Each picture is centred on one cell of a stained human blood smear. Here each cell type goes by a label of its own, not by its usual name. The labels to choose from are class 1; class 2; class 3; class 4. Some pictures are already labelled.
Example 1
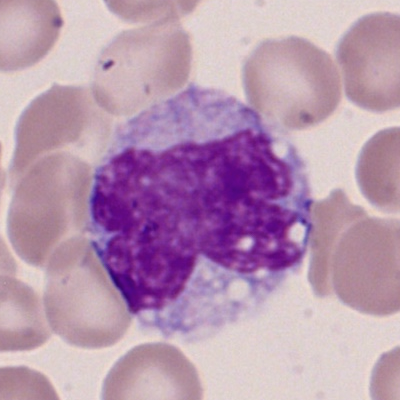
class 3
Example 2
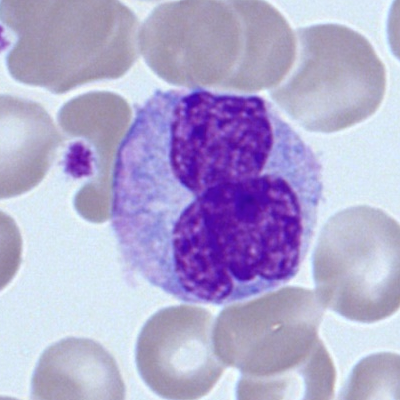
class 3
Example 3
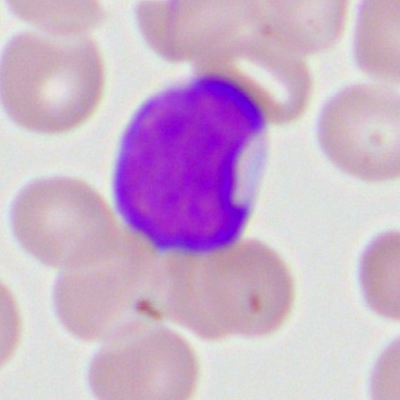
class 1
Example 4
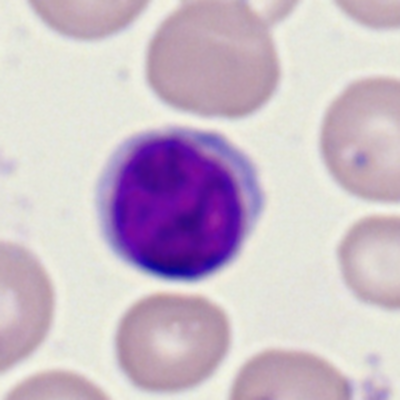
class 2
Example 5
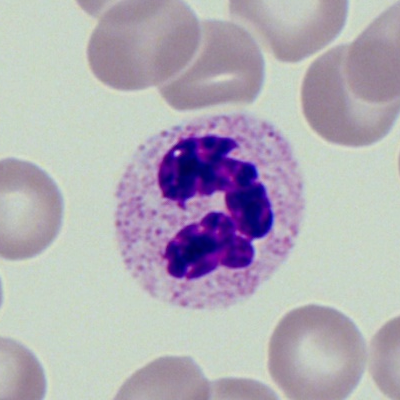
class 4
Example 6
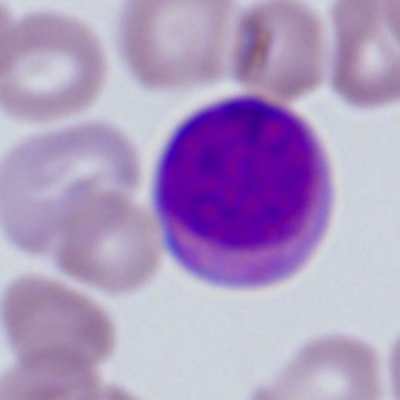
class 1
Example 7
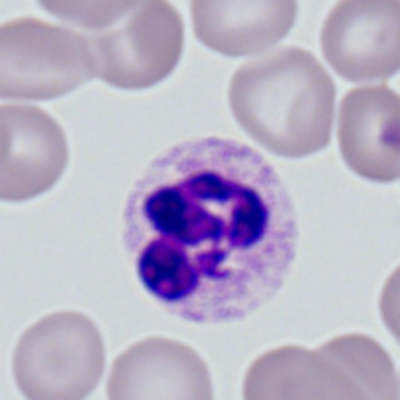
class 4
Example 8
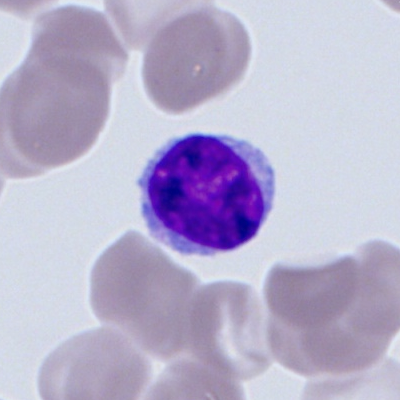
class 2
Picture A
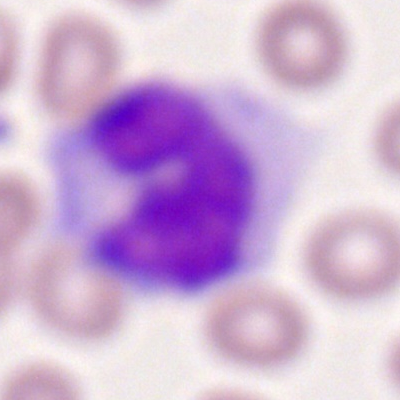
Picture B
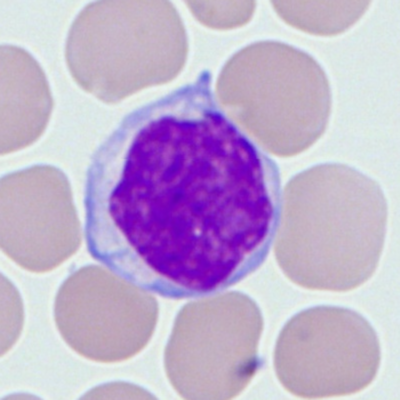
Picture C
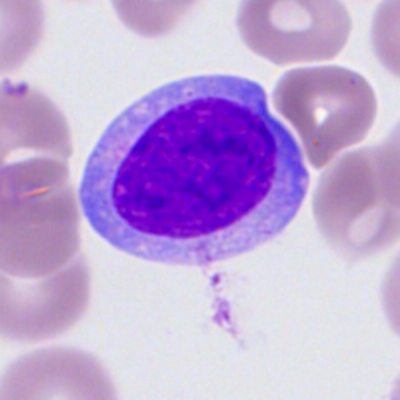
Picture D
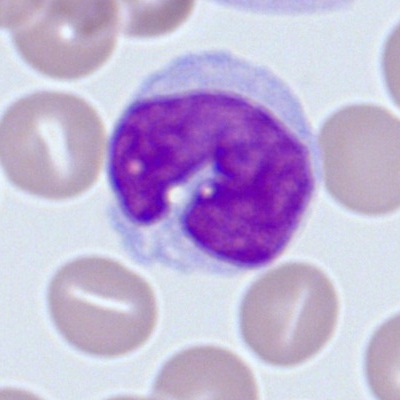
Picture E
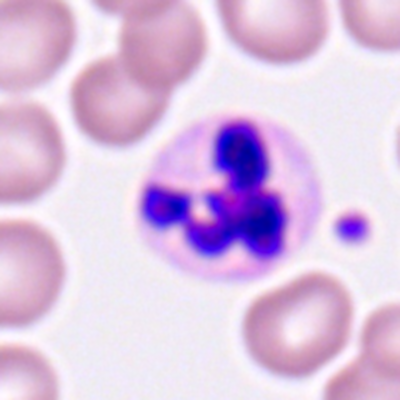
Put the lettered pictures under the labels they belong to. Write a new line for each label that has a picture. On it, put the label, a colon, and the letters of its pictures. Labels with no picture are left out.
class 1: C
class 2: B
class 3: A, D
class 4: E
